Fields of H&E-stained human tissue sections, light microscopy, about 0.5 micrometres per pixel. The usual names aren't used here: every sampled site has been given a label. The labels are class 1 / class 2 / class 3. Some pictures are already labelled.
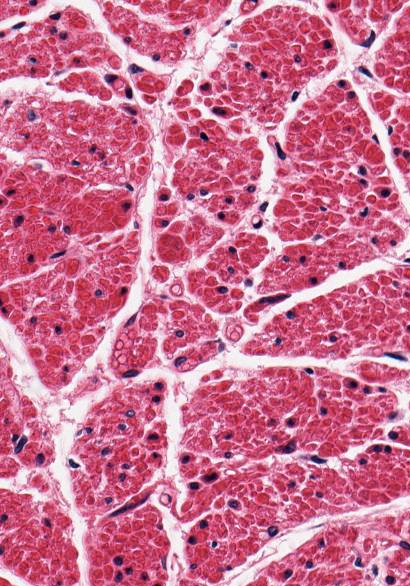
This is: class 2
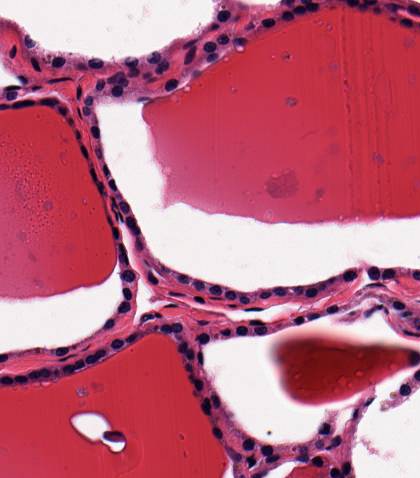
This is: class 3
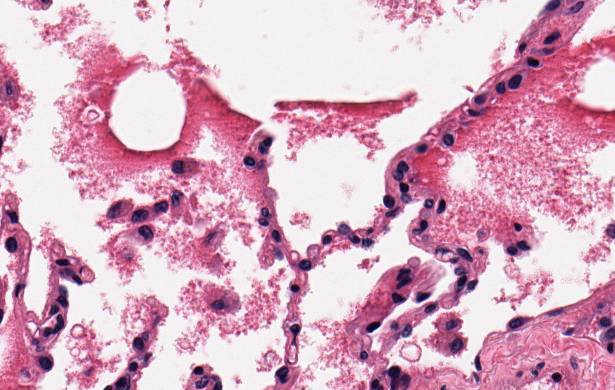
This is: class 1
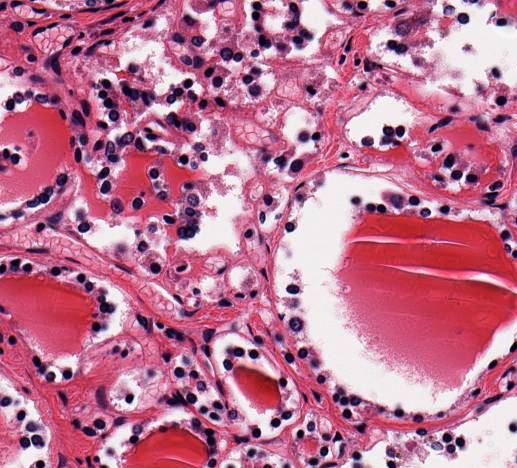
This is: class 3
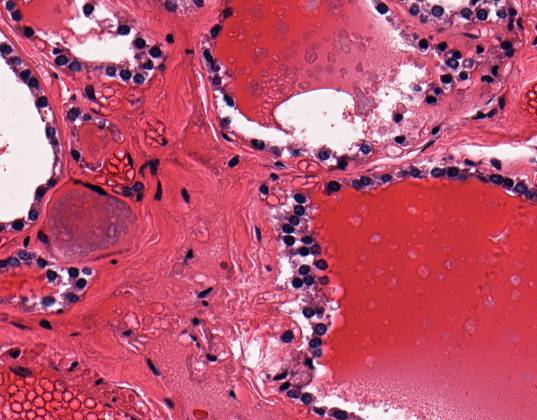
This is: class 3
